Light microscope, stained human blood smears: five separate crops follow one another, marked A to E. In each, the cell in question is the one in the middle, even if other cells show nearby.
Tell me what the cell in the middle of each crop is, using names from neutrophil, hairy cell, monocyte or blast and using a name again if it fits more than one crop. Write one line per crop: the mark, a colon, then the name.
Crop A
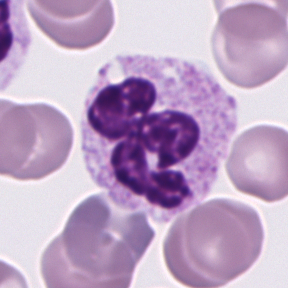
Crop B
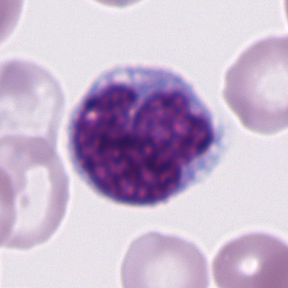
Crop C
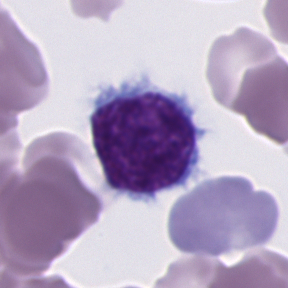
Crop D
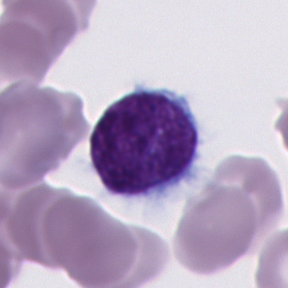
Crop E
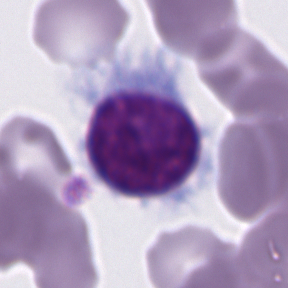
A: neutrophil
B: monocyte
C: hairy cell
D: hairy cell
E: hairy cell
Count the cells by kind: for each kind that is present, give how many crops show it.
hairy cell: 3
neutrophil: 1
monocyte: 1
